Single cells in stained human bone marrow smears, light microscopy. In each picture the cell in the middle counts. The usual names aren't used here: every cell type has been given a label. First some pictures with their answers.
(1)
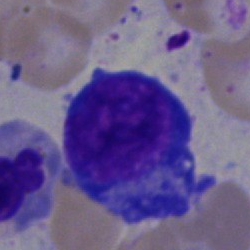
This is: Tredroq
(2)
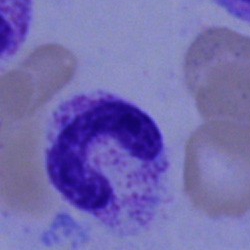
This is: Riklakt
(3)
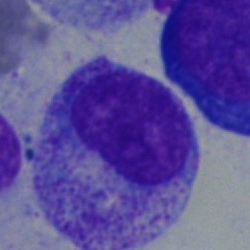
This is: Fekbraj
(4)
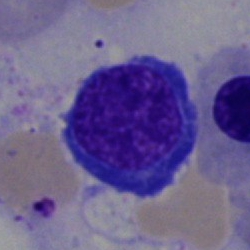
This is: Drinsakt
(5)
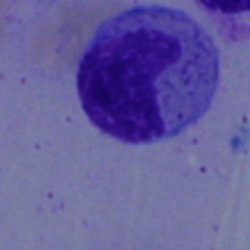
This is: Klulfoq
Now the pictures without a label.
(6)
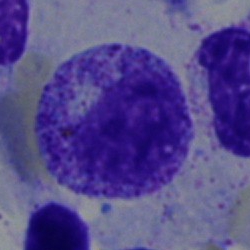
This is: Fekbraj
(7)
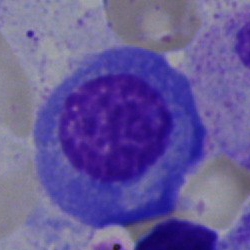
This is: Tredroq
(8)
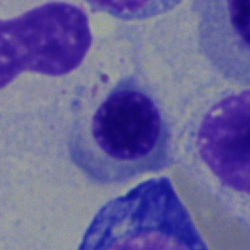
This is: Drinsakt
